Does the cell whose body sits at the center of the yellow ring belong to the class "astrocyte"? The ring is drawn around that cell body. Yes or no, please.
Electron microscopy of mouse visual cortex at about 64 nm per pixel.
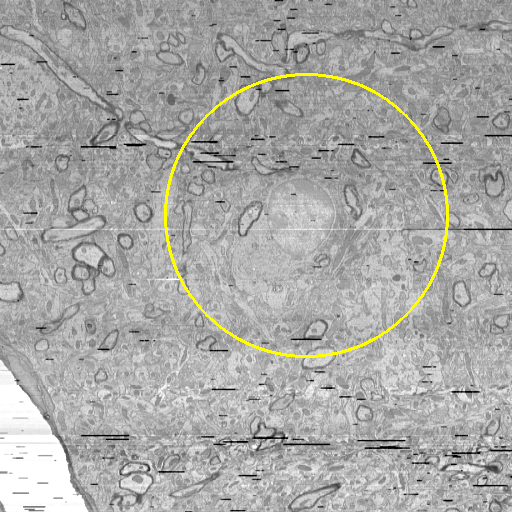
No, it belongs to another class.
